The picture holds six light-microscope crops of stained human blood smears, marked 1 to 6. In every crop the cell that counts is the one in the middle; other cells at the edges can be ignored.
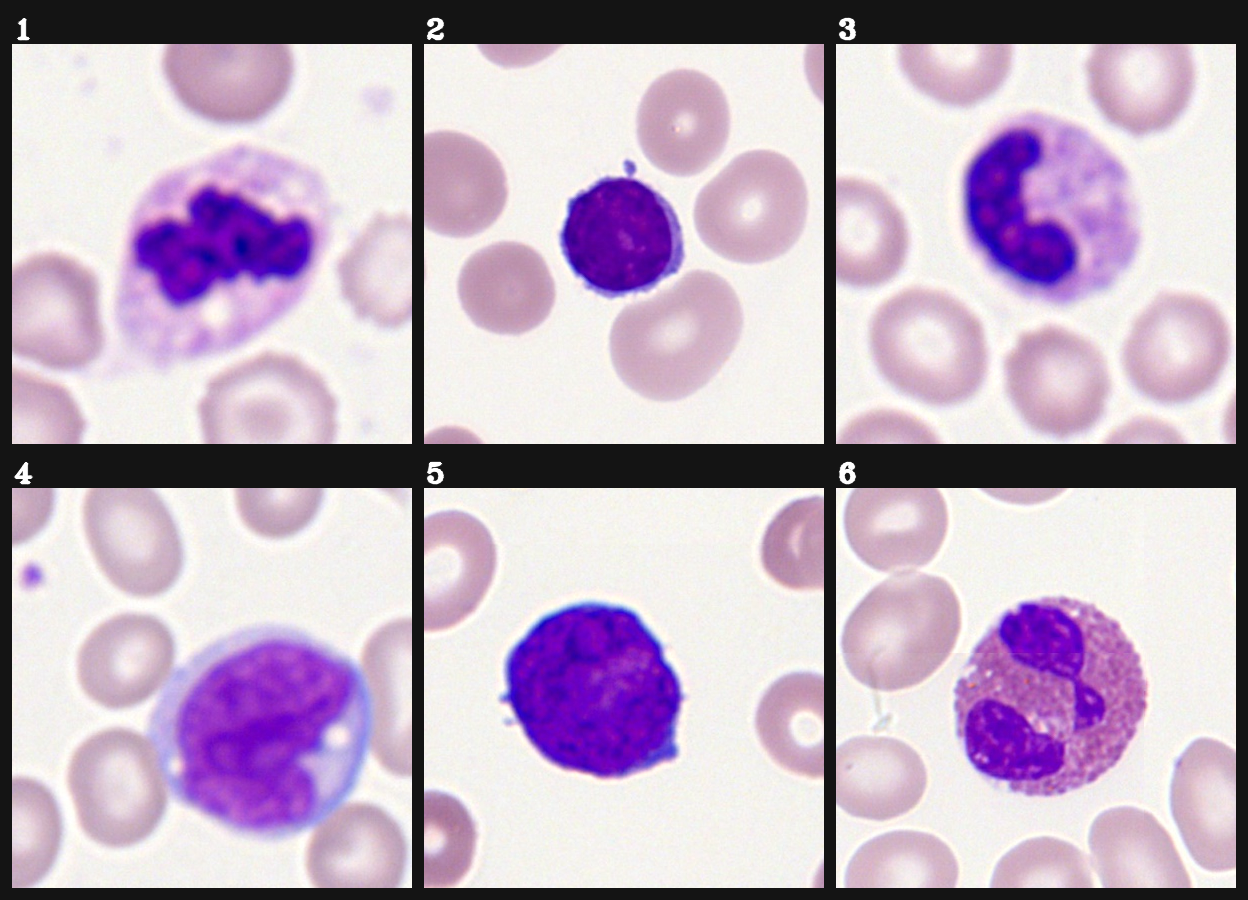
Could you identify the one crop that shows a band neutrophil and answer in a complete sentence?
Crop 3 is the crop featuring a band neutrophil at its center.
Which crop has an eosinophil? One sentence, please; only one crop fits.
On review of the set, crop 6 is the one showing an eosinophil.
